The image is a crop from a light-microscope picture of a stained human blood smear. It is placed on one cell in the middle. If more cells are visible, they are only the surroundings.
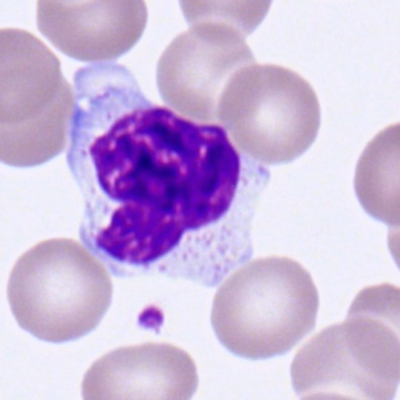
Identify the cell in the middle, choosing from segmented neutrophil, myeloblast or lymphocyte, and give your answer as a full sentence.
Here the centrally located cell is a lymphocyte.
